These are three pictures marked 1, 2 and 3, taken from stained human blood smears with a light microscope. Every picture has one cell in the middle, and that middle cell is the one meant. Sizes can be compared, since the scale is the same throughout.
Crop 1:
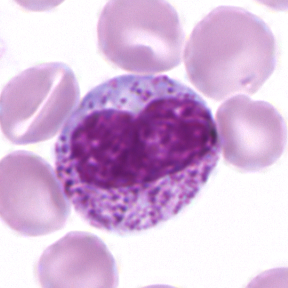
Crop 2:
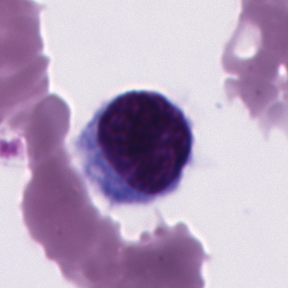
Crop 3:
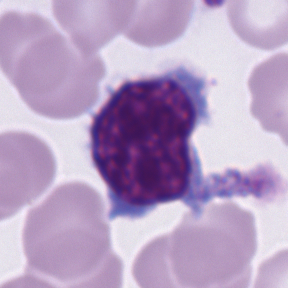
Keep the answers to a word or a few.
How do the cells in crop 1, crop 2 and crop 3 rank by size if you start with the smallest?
2, 3, 1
